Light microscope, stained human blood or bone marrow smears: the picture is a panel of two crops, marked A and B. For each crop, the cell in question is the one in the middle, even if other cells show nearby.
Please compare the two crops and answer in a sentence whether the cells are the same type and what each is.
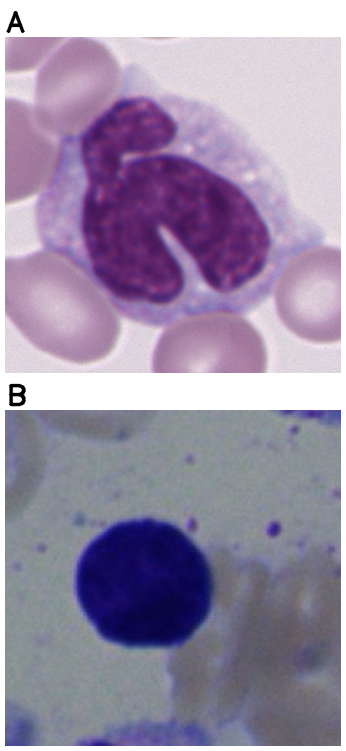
No, in crop A there is a monocyte, and in crop B there is a lymphocyte.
